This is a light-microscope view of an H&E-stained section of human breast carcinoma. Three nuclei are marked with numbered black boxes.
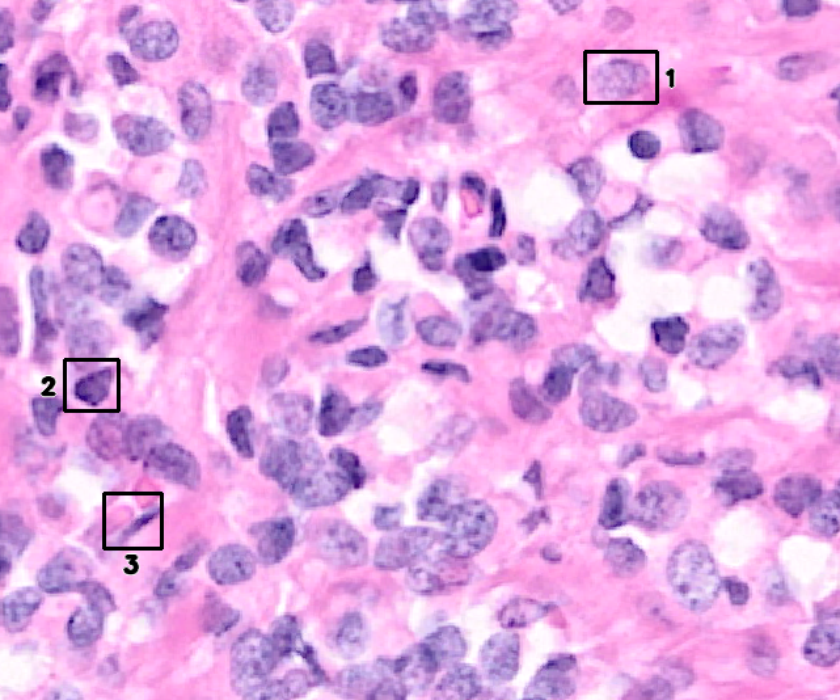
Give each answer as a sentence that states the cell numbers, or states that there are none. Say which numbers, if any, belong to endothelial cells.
There is just one numbered cell that is an endothelial cell, and it is cell 3.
